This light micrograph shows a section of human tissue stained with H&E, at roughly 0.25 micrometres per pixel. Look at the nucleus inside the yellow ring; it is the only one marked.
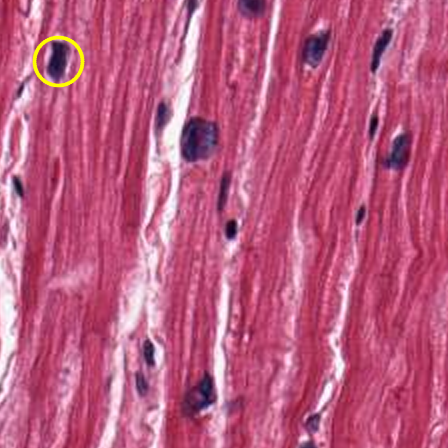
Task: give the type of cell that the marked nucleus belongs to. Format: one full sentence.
The marked nucleus is seen to belong to a cardiomyocyte.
